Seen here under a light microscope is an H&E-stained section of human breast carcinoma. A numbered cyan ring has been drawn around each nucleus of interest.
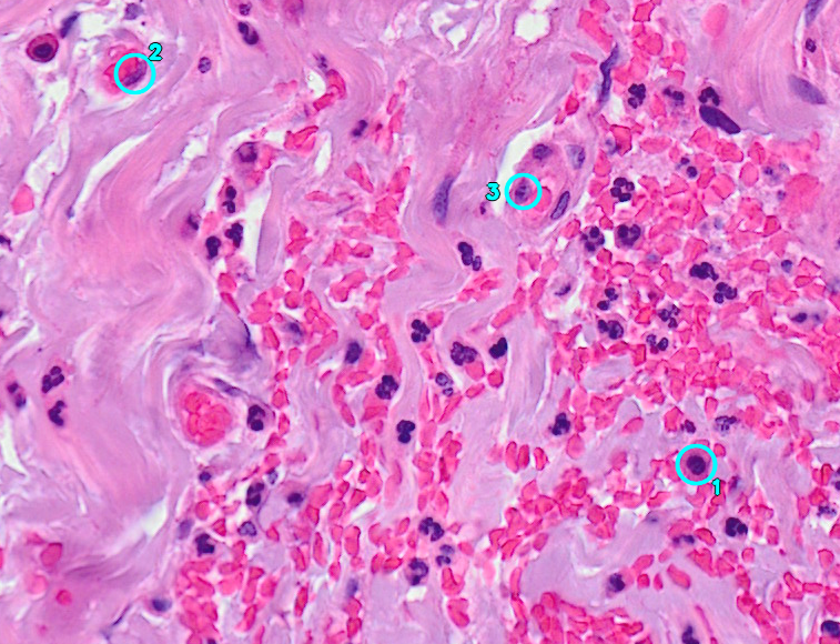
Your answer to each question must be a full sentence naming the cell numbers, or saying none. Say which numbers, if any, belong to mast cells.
Only cell 1 is a mast cell; none of the other numbered cells is.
